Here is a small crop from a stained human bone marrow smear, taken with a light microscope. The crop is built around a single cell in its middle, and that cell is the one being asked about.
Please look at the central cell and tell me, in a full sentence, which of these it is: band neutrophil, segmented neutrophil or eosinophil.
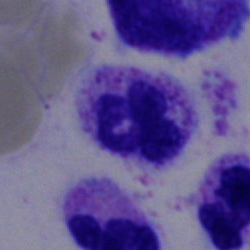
In the crop, the cell of interest at the centre is a segmented neutrophil.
